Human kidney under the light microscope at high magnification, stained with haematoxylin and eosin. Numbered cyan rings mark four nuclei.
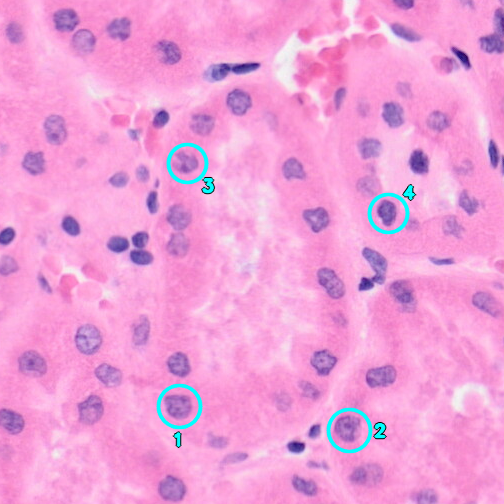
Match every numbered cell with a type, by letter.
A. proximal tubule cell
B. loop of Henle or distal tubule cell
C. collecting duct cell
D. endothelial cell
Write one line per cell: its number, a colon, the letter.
1: A
2: A
3: A
4: B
